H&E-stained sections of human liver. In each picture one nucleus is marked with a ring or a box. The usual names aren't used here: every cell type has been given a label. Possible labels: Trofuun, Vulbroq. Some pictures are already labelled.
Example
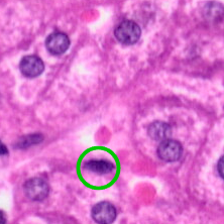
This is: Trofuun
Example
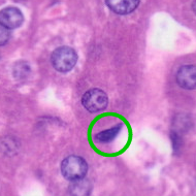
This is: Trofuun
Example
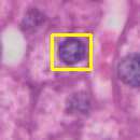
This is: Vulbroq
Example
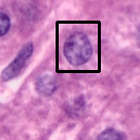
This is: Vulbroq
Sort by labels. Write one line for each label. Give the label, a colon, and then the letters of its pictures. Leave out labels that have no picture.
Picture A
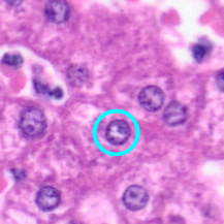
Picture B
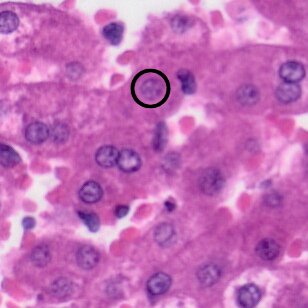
Vulbroq: A, B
